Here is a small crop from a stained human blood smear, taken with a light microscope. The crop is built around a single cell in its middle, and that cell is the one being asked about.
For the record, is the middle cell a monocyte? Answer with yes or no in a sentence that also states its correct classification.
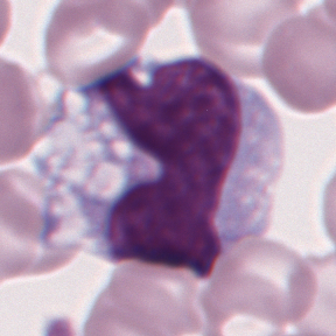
Yes, the cell that lies centrally is a monocyte.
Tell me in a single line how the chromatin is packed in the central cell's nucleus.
Its chromatin is finely dispersed rather than coarsely clumped.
